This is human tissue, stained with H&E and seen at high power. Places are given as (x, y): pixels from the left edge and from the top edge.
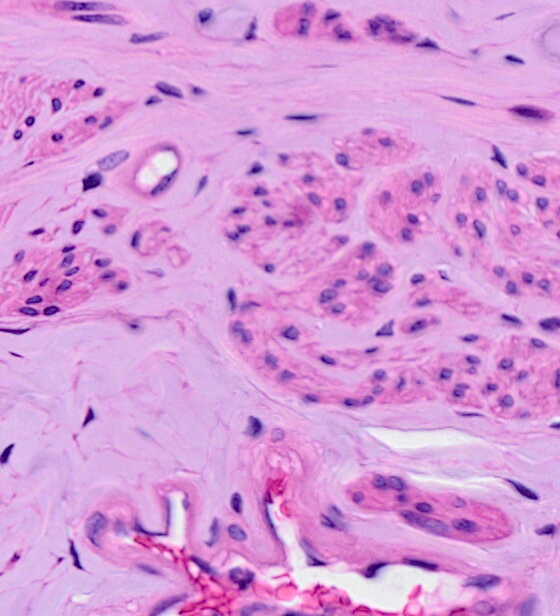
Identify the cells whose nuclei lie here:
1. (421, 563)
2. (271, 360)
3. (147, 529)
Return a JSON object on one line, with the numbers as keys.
{"1": "endothelial cell", "2": "smooth muscle cell", "3": "endothelial cell"}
